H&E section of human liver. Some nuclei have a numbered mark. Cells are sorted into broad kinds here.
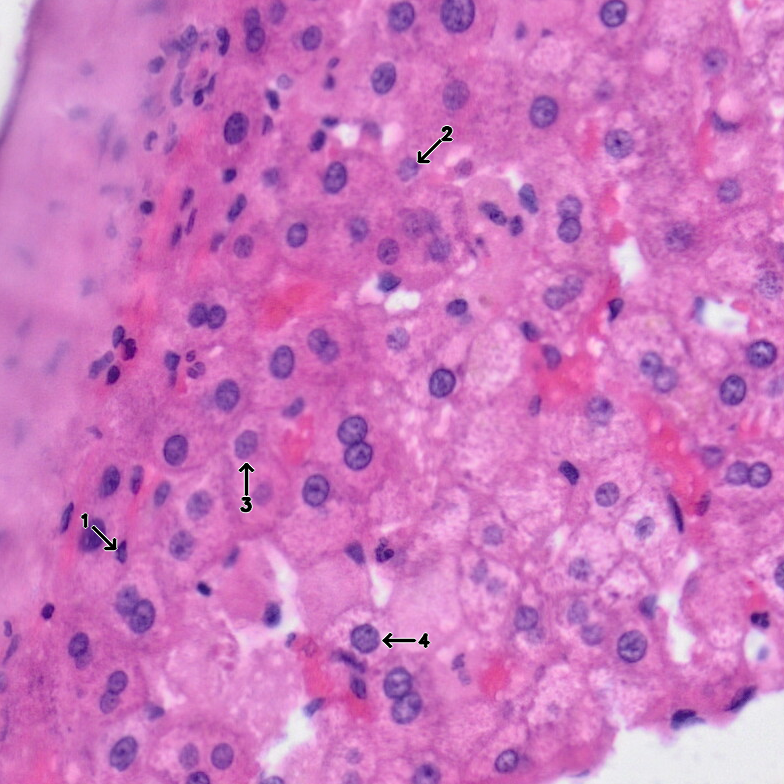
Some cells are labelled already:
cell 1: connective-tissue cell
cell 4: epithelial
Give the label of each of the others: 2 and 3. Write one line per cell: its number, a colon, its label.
2: epithelial
3: epithelial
